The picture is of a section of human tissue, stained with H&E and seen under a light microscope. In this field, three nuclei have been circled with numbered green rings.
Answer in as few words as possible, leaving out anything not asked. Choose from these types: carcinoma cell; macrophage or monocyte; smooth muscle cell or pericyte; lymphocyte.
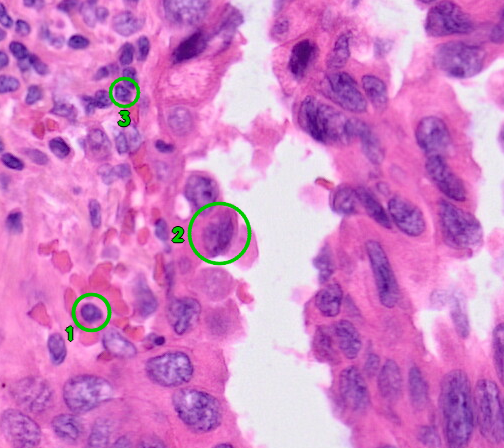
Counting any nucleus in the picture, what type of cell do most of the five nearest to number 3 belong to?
lymphocyte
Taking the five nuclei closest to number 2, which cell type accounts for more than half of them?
carcinoma cell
